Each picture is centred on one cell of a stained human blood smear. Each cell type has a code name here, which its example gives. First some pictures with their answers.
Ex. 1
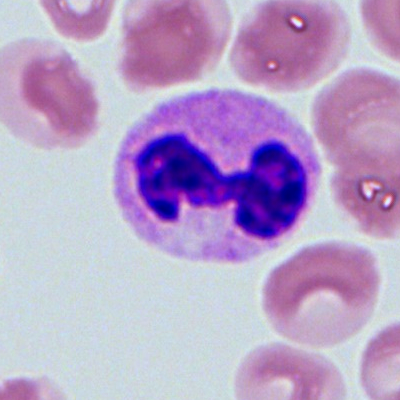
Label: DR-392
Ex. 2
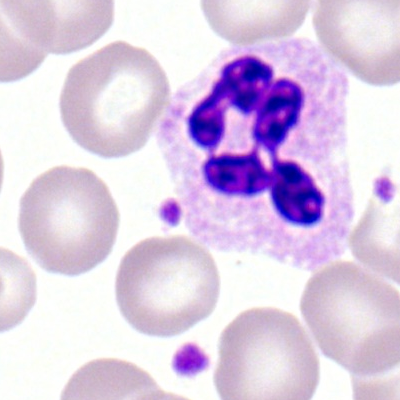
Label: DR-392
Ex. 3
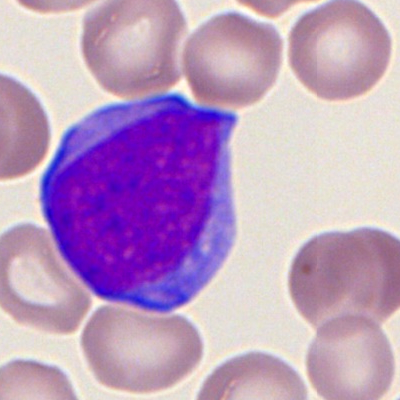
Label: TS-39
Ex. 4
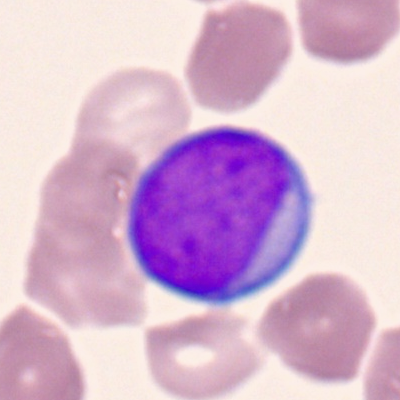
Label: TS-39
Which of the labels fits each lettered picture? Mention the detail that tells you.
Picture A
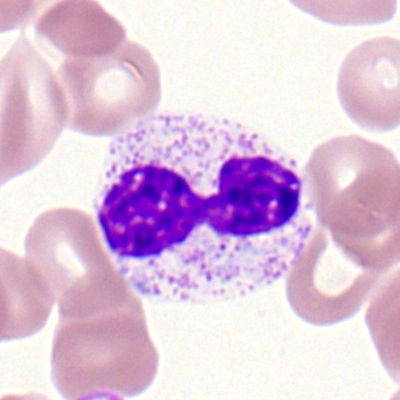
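DR-392. Reason: The cytoplasm is plentiful and very pale, almost colourless.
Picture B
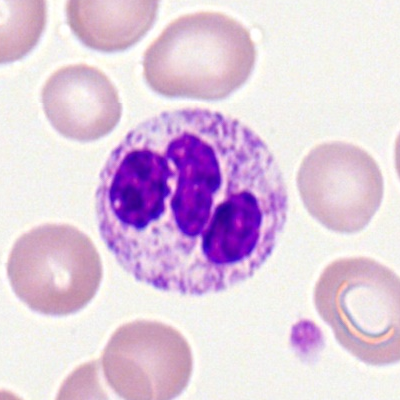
DR-392. Reason: The nucleus is divided into three lobes.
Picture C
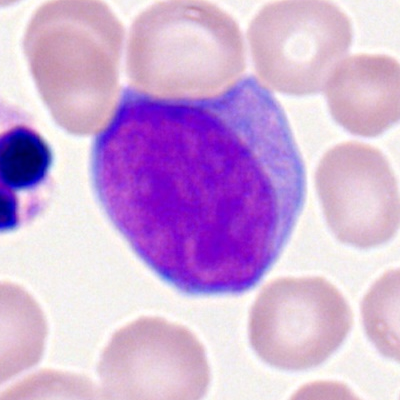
TS-39. Reason: The cytoplasm is blue, deepest in colour along the cell's outer edge.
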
